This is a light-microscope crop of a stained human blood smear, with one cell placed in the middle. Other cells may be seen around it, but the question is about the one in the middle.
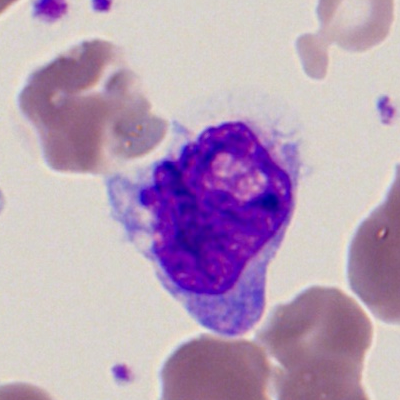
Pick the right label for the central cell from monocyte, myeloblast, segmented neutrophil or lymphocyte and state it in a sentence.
The crop shows a monocyte in its centre.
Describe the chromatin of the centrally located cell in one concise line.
One feature to record is coarsely clumped chromatin.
